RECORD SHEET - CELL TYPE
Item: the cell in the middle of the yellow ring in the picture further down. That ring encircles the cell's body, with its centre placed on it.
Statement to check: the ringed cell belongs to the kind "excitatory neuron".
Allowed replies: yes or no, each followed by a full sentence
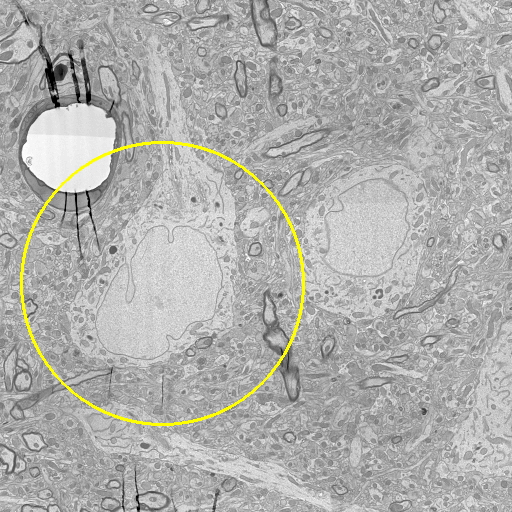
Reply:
Yes, the cell held at the centre of the ring in the picture is of that kind.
